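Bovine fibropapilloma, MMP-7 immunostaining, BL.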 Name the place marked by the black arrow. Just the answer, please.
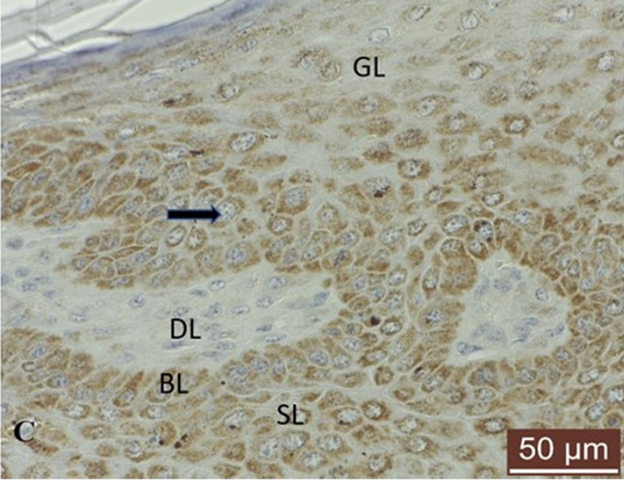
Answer: Perinuclear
